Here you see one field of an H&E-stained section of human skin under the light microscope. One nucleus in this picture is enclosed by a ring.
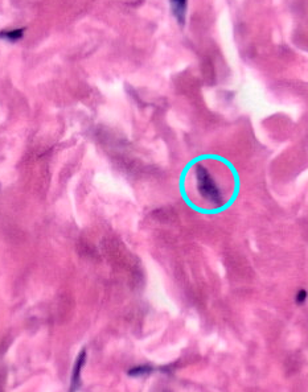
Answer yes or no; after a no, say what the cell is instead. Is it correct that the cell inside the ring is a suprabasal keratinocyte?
No, it is a fibroblast.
